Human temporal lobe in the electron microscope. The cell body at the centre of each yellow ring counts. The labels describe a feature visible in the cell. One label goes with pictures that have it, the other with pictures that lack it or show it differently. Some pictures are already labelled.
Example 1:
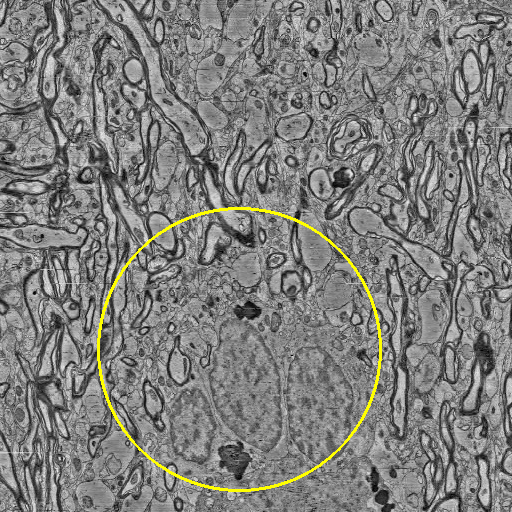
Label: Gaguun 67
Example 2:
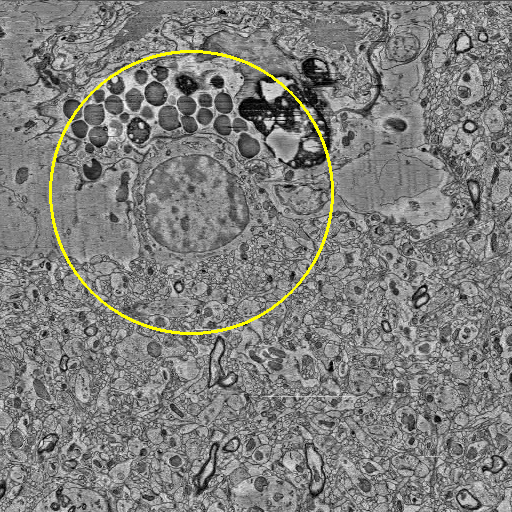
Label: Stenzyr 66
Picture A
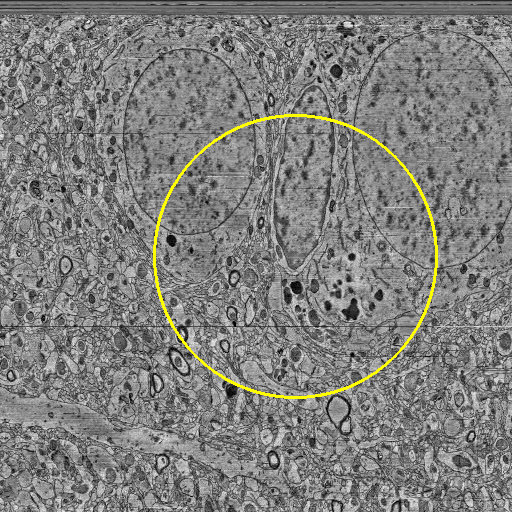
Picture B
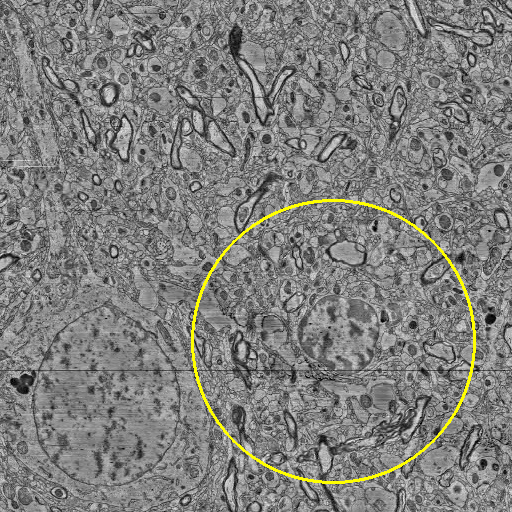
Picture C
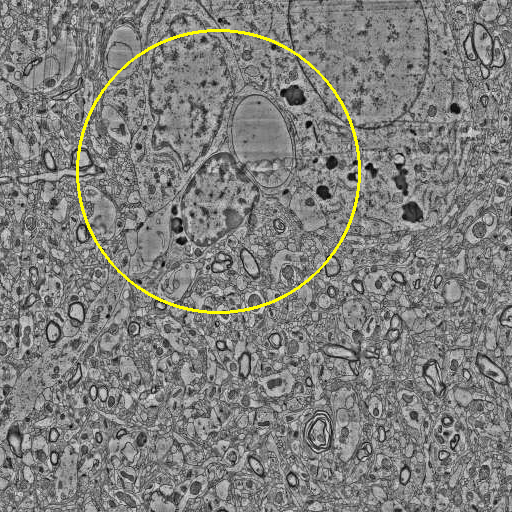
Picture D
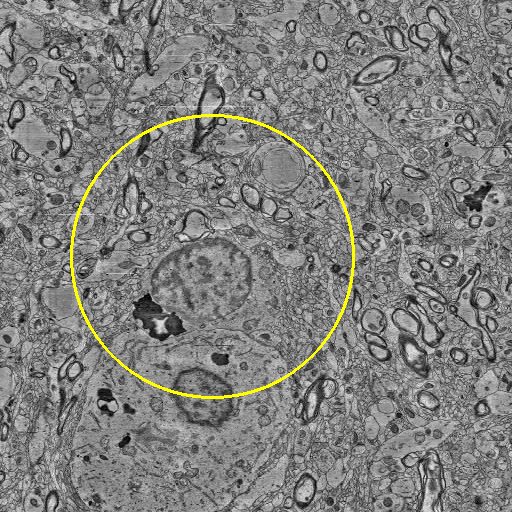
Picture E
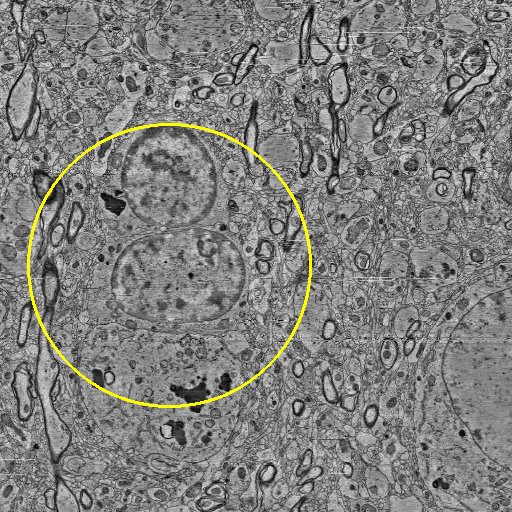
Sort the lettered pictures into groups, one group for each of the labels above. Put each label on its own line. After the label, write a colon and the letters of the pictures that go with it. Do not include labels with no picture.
Gaguun 67: A
Stenzyr 66: B, C, D, E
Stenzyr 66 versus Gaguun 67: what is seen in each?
Stenzyr 66, round or nearly round nuclei; Gaguun 67, clearly elongated nuclei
